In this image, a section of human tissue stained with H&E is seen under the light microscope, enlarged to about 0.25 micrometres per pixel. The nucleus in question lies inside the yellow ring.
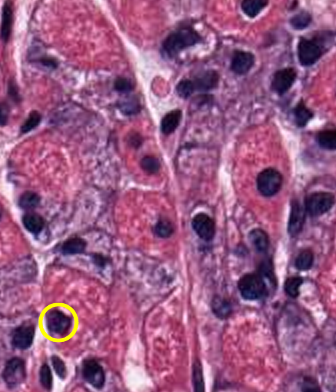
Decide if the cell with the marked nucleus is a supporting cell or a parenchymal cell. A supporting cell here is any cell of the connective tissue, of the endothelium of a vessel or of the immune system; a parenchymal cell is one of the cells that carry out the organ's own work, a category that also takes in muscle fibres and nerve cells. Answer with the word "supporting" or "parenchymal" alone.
parenchymal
